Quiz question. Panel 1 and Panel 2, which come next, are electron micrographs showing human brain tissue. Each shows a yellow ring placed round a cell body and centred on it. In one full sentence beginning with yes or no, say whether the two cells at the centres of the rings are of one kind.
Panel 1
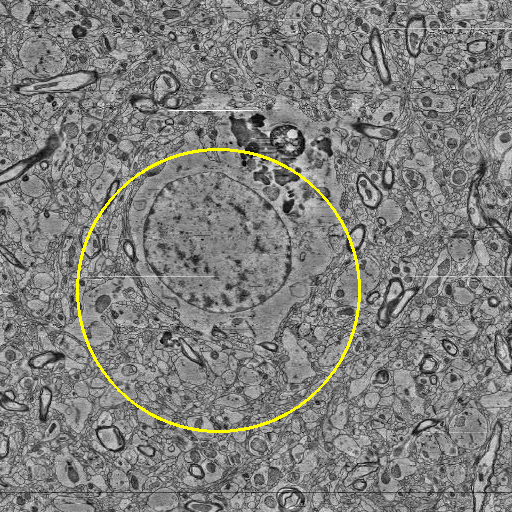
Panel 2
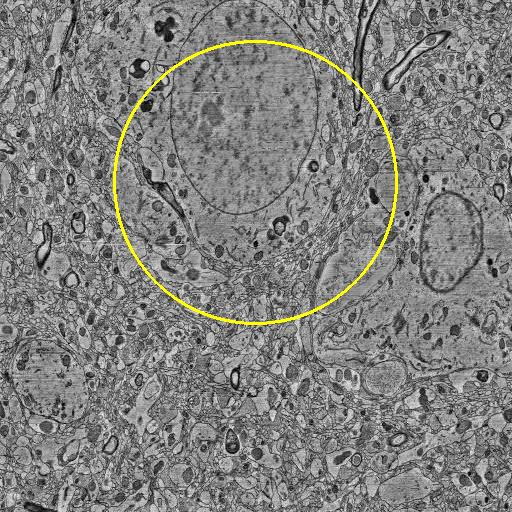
No, Panel 1 and Panel 2 show two kinds of cell at the centre of the ring.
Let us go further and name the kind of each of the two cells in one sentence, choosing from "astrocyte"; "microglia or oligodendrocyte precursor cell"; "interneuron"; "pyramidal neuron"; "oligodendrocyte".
The ring of the first picture is on an astrocyte, the ring of the second on a pyramidal neuron.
